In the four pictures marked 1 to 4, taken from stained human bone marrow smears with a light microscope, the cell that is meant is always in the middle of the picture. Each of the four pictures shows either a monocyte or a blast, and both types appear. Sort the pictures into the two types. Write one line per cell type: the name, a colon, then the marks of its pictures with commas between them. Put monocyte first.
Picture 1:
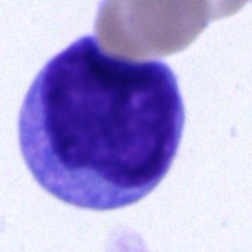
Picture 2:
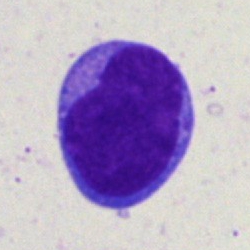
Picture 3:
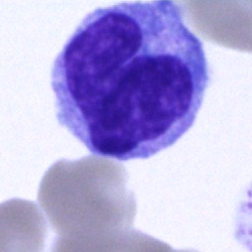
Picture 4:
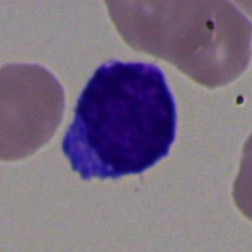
monocyte: 3
blast: 1, 2, 4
